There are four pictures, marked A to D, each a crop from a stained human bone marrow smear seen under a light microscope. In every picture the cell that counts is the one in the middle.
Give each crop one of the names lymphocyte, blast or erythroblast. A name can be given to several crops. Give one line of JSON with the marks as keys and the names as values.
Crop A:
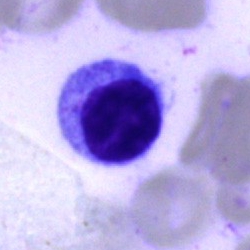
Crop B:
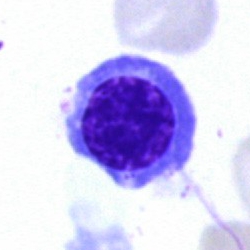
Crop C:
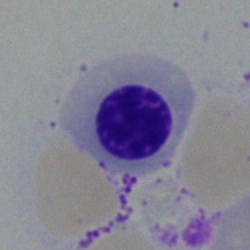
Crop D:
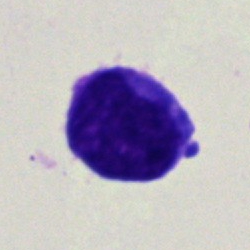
{"A": "lymphocyte", "B": "erythroblast", "C": "erythroblast", "D": "blast"}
